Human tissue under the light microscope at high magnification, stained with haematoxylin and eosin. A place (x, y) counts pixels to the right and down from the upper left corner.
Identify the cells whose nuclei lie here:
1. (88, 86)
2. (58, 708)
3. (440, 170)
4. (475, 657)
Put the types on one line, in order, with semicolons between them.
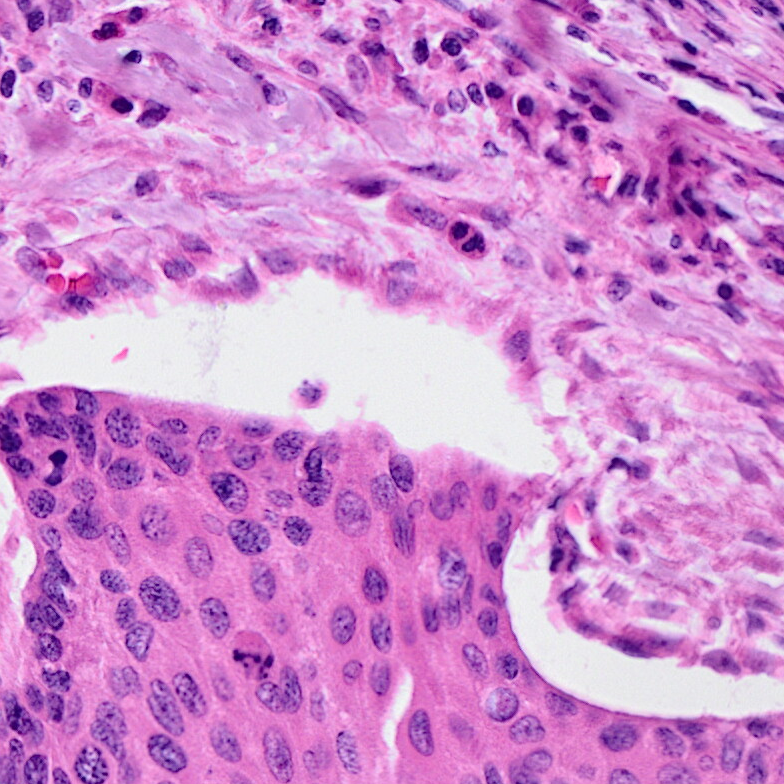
lymphocyte; squamous carcinoma cell; fibroblast; squamous carcinoma cell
